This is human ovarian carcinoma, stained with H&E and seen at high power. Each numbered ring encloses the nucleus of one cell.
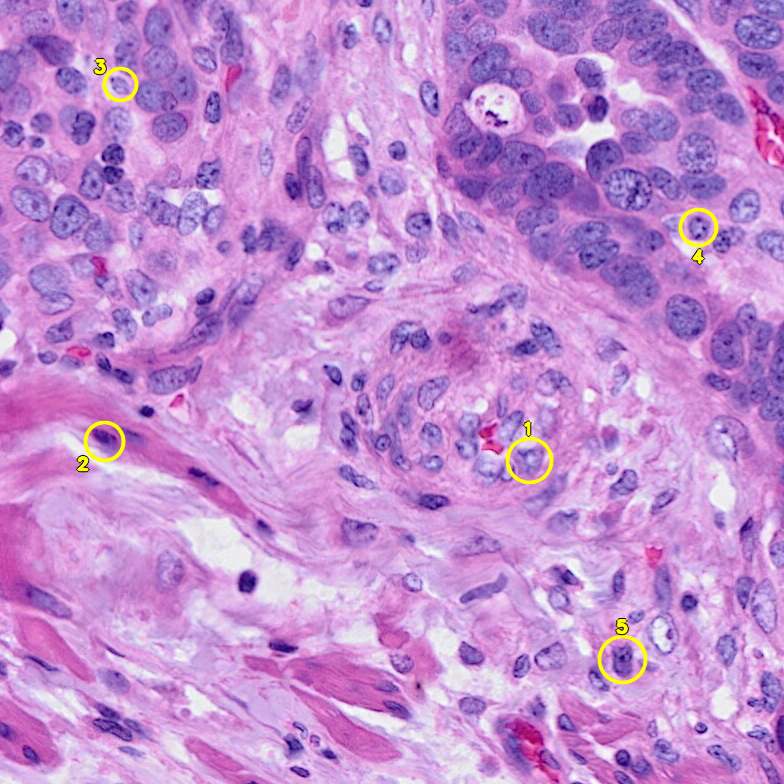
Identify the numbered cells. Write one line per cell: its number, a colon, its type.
1: endothelial cell
2: smooth muscle cell
3: macrophage or monocyte
4: macrophage or monocyte
5: macrophage or monocyte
